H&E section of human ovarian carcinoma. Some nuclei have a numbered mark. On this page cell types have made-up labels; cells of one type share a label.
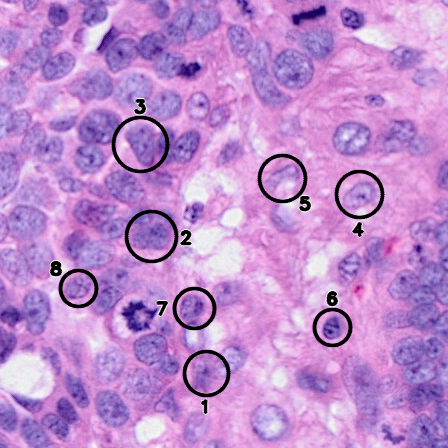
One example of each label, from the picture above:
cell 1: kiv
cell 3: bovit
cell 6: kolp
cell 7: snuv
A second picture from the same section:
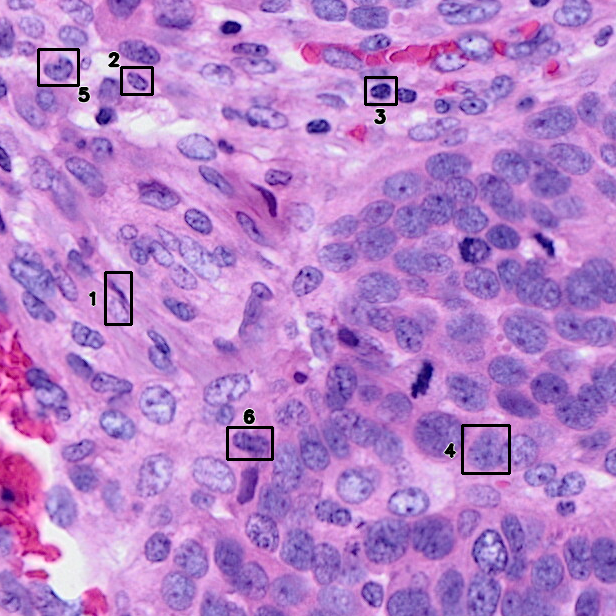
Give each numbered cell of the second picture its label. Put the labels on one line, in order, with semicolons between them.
kiv; kolp; kolp; bovit; snuv; snuv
